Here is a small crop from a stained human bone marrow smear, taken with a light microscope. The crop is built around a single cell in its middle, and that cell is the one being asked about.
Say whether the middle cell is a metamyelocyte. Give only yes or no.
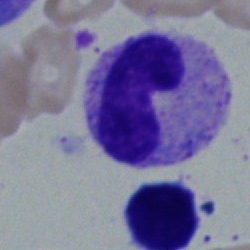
no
